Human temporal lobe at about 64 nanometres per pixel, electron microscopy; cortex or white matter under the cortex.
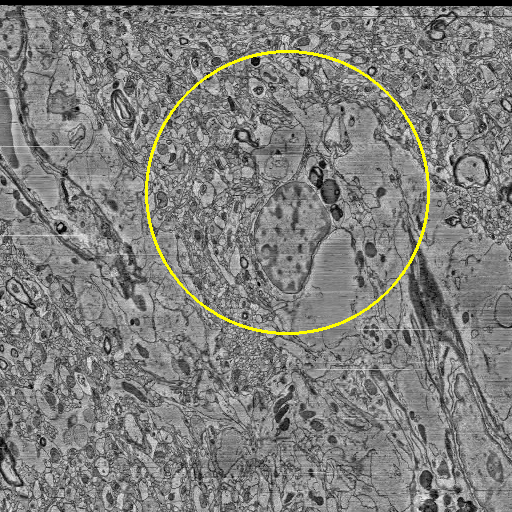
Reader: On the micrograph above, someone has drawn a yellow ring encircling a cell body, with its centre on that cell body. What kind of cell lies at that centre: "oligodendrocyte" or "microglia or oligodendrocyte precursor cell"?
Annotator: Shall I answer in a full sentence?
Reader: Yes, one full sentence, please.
Here a microglial cell or oligodendrocyte precursor cell sits at the centre of the yellow ring drawn on the micrograph.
